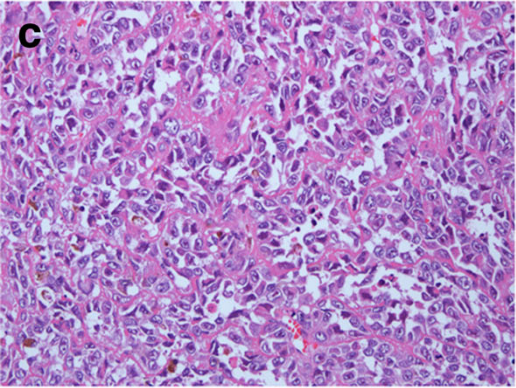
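This tumour shows clusters of tumour cells separated by strands of pink fibrous stroma. The cells are polygonal to somewhat elongated, with moderate pink cytoplasm and oval nuclei with visible nucleoli. Small clefts and spaces open between the clusters, and a few brown granules are scattered in the field.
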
